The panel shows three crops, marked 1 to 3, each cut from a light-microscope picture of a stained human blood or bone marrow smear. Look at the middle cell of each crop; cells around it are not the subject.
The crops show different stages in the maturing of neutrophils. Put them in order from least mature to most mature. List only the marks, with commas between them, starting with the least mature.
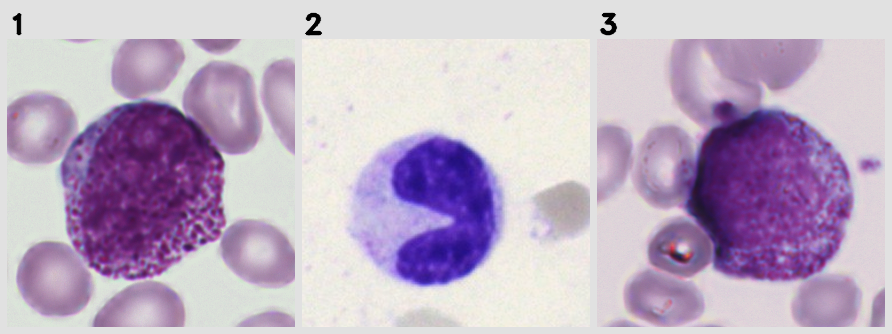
1, 3, 2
